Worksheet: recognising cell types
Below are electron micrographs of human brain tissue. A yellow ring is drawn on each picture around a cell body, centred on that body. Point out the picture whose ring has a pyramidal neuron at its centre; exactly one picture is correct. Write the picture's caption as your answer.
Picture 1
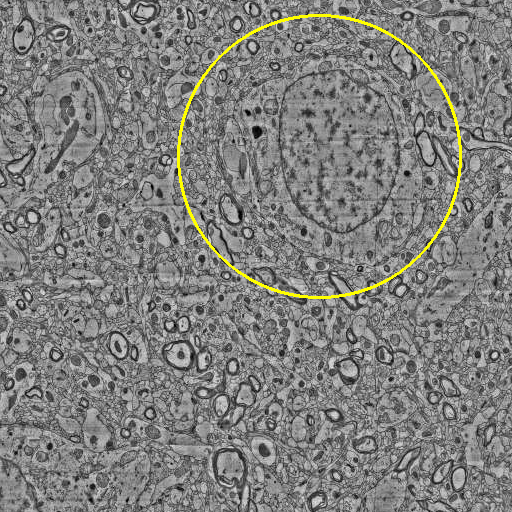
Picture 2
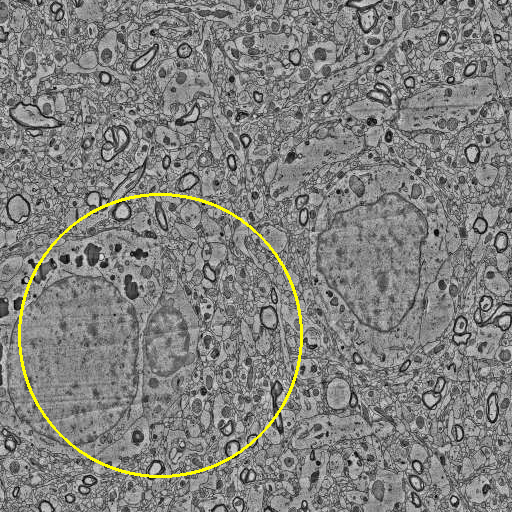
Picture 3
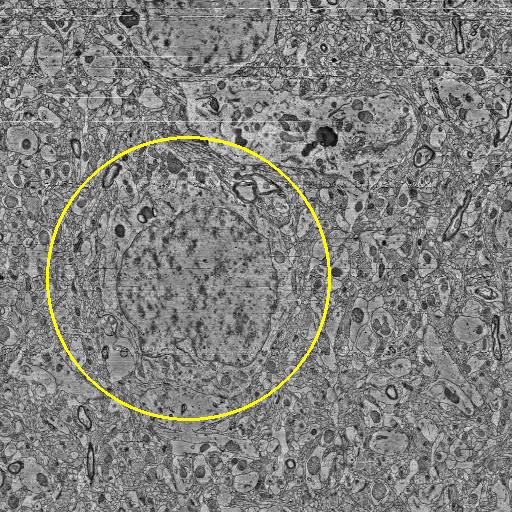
Picture 1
